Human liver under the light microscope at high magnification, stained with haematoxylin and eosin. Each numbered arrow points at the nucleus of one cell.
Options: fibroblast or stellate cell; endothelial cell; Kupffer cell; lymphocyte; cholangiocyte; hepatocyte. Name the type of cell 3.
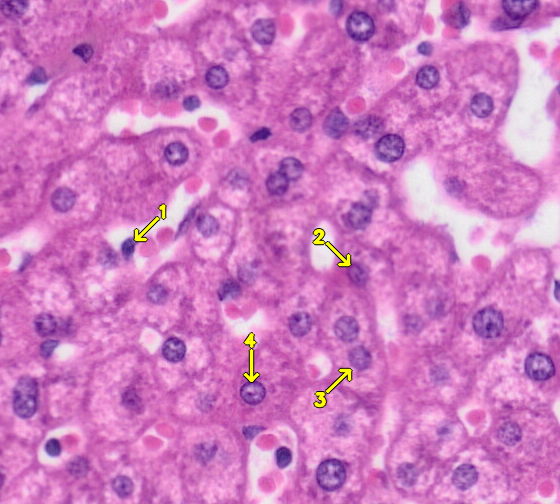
hepatocyte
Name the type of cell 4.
hepatocyte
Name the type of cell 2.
hepatocyte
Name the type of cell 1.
lymphocyte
